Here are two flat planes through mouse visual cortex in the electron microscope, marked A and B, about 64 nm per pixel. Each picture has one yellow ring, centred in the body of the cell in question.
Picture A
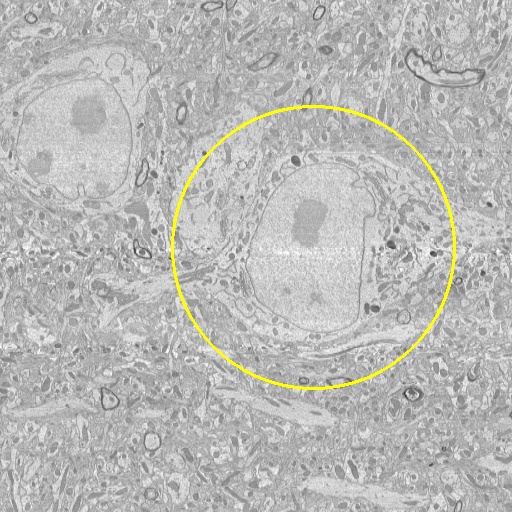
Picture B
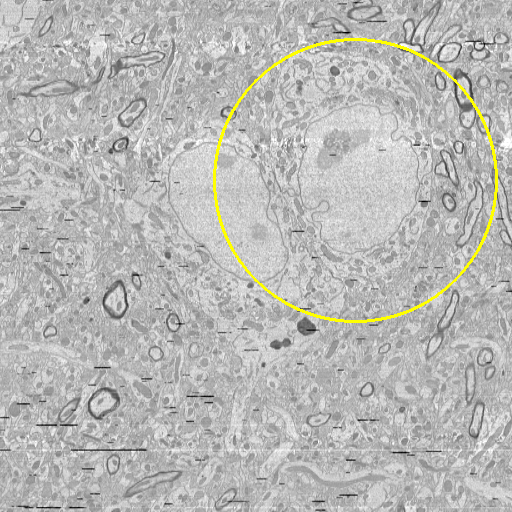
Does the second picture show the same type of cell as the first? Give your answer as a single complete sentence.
Yes, both are inhibitory neurons.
